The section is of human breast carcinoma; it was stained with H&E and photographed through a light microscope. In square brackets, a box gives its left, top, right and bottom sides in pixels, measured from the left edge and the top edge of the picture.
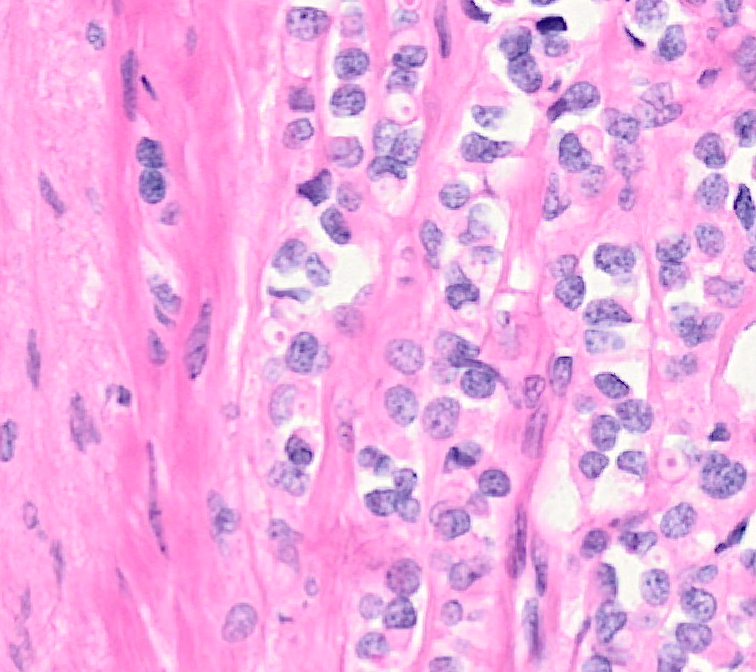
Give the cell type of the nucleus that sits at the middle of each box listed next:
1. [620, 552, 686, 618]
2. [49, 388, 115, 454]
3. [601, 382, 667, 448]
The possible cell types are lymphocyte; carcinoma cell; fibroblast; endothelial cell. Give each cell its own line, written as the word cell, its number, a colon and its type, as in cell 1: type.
cell 1: carcinoma cell
cell 2: fibroblast
cell 3: carcinoma cell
